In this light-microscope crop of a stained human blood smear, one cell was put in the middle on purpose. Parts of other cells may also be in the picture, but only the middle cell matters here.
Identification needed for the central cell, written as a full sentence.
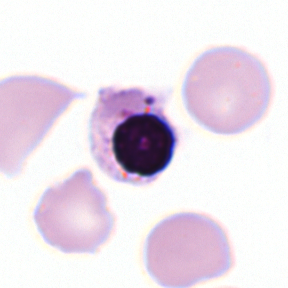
The cell at the middle of the frame should be recorded as an erythroblast.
